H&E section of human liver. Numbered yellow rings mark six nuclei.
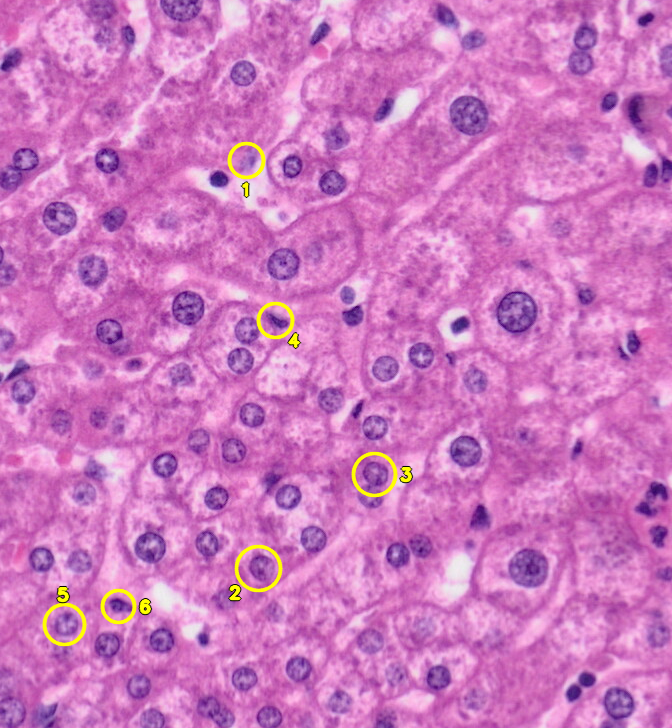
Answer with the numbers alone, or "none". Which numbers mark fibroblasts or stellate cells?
6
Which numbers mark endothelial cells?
4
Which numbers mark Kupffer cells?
1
